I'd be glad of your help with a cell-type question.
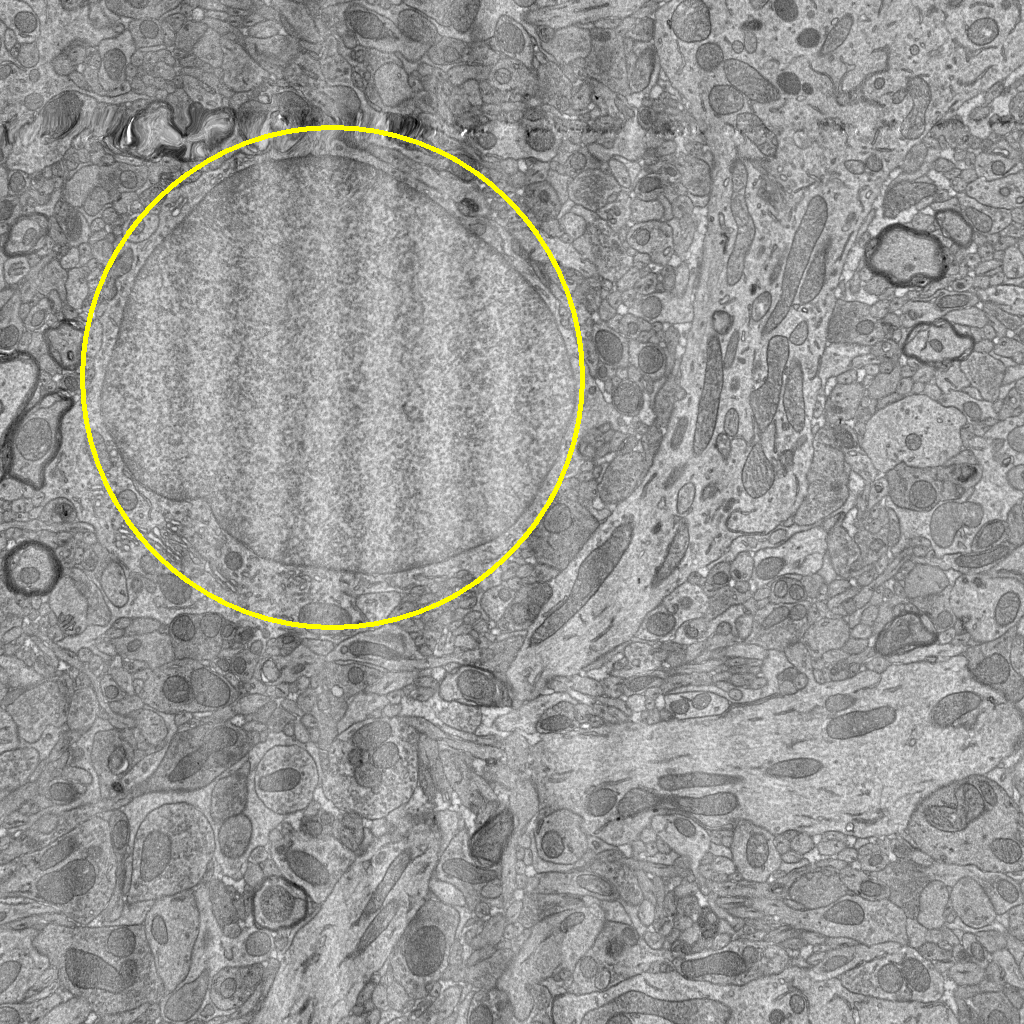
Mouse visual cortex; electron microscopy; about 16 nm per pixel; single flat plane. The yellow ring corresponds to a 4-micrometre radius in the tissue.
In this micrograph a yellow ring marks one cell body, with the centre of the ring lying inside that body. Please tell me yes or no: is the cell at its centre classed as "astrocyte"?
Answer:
yes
